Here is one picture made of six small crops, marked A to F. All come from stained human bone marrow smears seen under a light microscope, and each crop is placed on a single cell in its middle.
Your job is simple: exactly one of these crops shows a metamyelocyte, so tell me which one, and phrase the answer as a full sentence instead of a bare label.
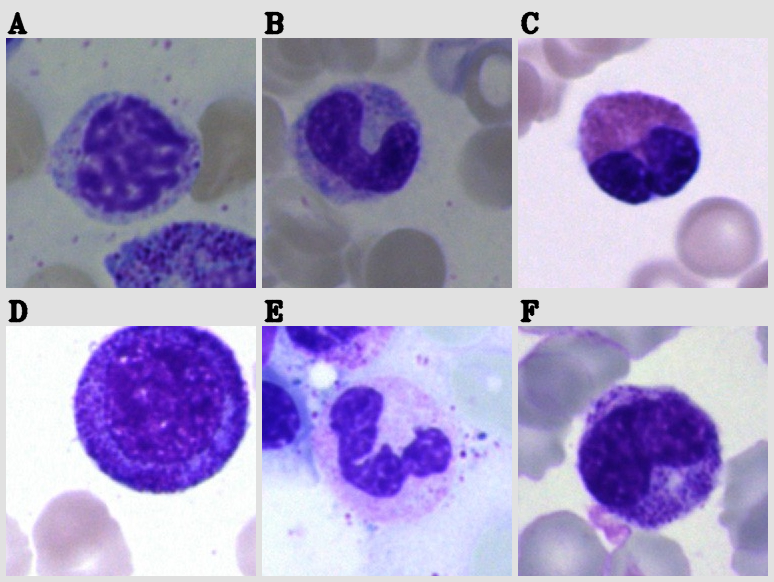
Crop F represents a metamyelocyte, while the other crops do not.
